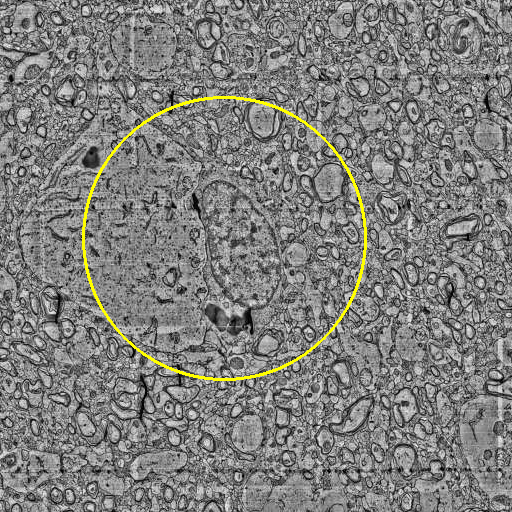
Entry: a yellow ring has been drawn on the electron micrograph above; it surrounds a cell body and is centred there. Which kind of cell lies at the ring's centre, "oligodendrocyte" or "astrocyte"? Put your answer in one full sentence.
The cell sitting at the ring's centre is an oligodendrocyte in the micrograph above.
